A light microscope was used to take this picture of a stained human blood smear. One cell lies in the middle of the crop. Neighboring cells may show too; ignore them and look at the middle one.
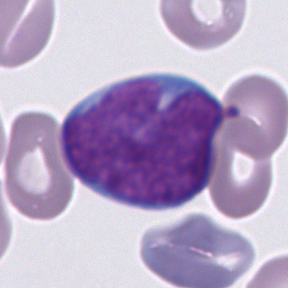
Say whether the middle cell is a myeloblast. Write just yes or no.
yes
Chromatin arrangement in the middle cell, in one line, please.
The chromatin pattern is fine and free of coarse clumps.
